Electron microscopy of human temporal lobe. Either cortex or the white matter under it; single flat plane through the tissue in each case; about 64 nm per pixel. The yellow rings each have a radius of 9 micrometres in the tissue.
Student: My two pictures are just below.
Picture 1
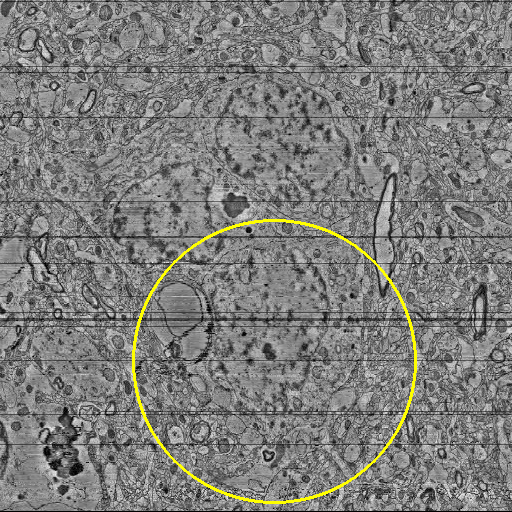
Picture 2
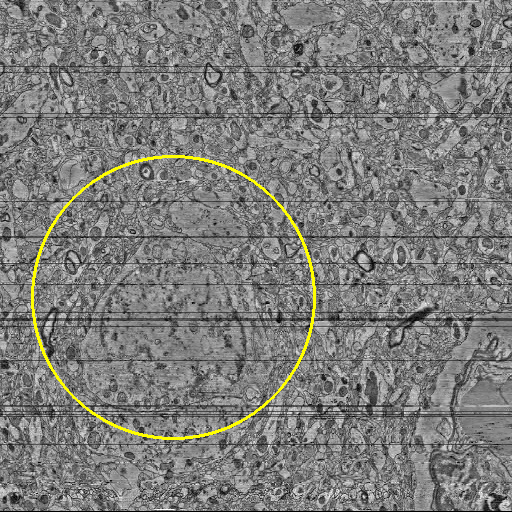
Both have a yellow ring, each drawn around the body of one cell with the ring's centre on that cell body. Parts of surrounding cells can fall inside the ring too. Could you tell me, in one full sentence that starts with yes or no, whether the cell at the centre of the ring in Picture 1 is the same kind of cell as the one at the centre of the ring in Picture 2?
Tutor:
Yes, the two cells are of the same kind.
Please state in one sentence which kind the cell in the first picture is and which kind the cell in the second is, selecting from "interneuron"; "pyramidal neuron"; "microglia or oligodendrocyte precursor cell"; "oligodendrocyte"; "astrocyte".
Each cell at the centre of a ring is an interneuron.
